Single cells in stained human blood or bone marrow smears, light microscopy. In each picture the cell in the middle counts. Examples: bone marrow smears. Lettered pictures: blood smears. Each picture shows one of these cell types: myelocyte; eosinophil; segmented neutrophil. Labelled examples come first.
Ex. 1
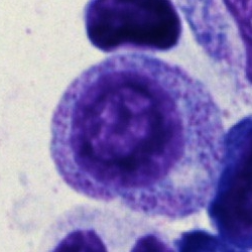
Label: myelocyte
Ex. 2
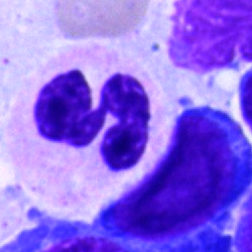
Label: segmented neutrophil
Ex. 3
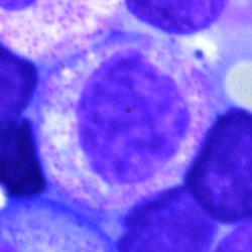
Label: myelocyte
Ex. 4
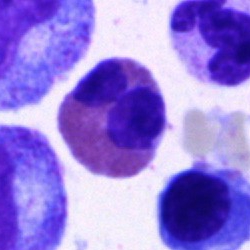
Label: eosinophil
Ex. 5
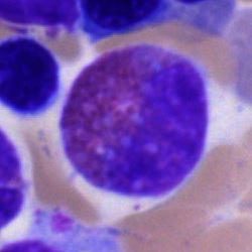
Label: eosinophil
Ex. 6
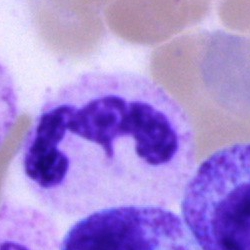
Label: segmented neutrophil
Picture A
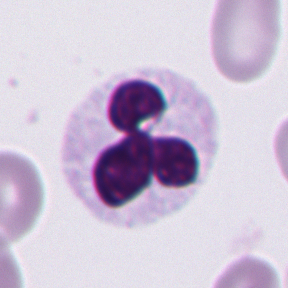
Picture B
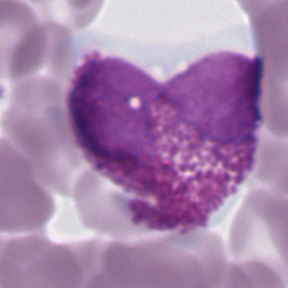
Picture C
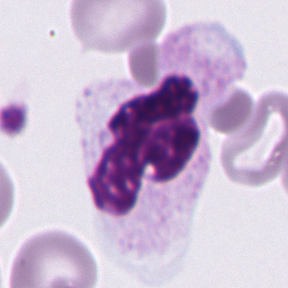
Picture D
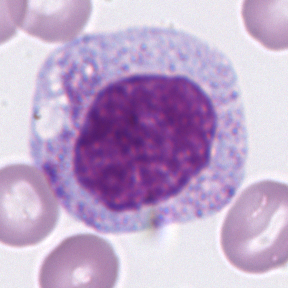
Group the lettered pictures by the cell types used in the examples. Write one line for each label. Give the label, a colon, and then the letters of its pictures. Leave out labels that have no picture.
myelocyte: D
eosinophil: B
segmented neutrophil: A, C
